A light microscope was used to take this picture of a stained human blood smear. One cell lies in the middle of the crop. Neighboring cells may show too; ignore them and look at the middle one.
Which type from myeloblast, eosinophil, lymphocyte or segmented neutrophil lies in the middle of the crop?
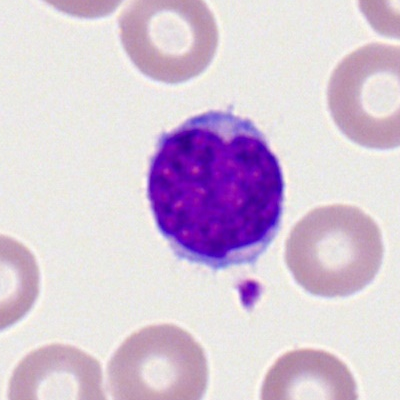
lymphocyte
